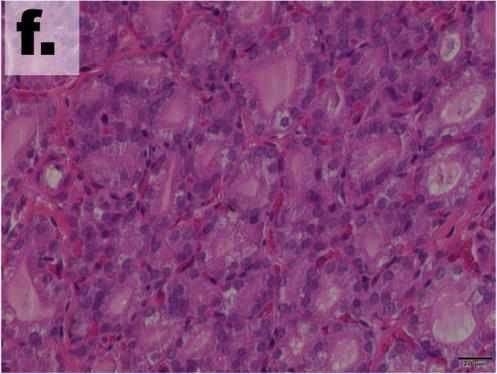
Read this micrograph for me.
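This is thyroid gland at high power, made of many small follicles lined by cuboidal epithelial cells with round purple nuclei. The follicles are closely packed and their lumina are narrow, holding only small amounts of pale pink colloid, some of it pale or vacuolated. The epithelium takes up most of the field, separated by thin pink strands of connective tissue with small capillaries. No clusters of small dark lymphocytes are seen among the follicles.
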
